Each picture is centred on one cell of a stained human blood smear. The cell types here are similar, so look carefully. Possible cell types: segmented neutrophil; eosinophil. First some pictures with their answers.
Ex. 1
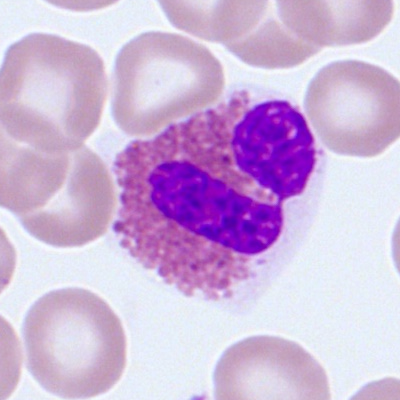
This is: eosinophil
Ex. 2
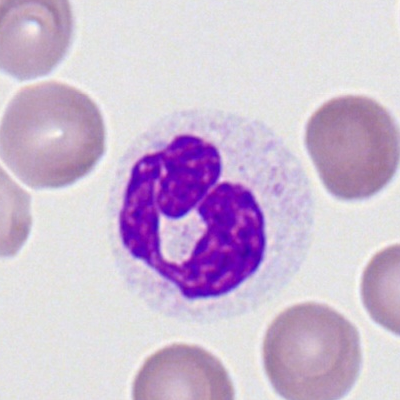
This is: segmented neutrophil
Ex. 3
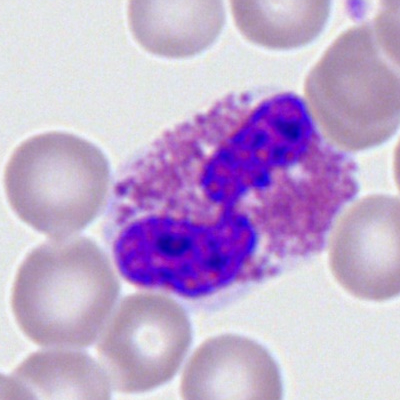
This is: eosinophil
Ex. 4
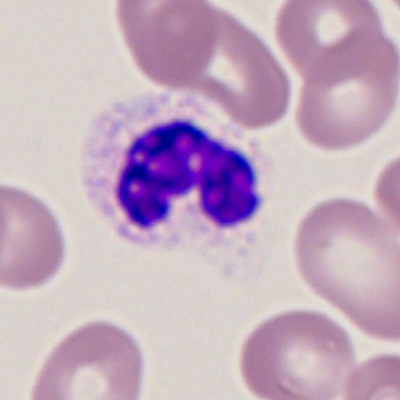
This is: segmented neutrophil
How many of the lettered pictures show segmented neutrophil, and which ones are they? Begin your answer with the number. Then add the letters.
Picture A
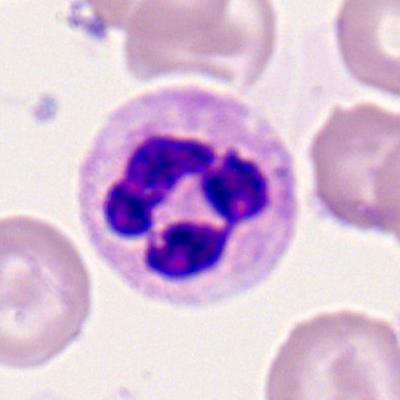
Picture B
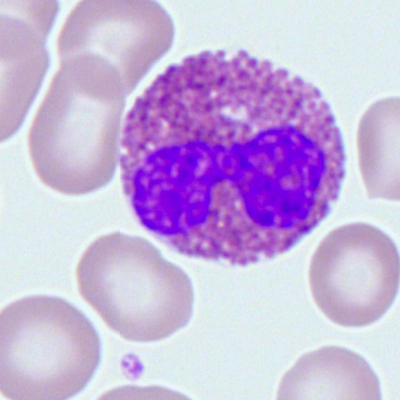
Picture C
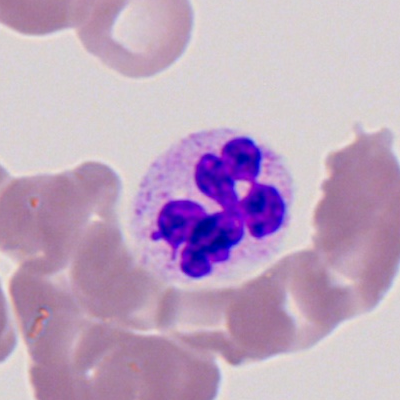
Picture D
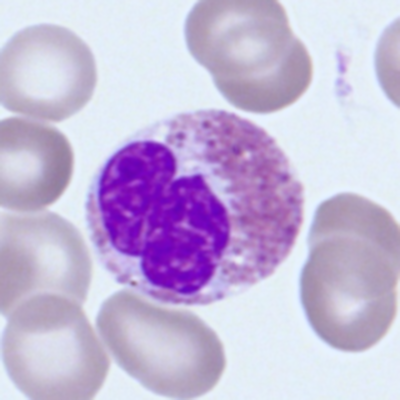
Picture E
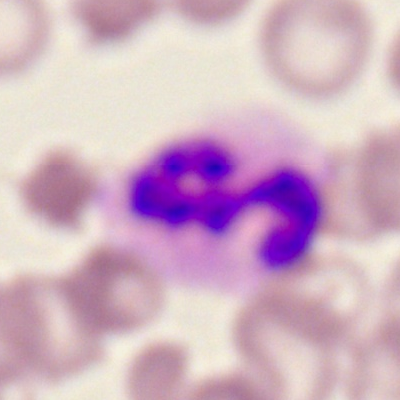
3: A, C, E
